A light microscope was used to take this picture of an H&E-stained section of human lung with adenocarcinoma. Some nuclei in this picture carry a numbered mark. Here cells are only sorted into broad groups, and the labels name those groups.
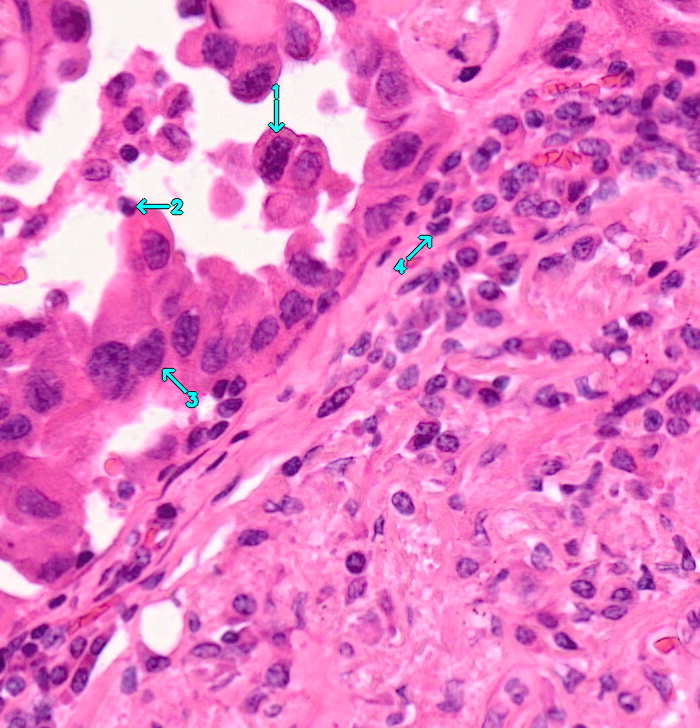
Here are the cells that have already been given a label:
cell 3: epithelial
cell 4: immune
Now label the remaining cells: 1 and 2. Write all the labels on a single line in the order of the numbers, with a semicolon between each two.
epithelial; immune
